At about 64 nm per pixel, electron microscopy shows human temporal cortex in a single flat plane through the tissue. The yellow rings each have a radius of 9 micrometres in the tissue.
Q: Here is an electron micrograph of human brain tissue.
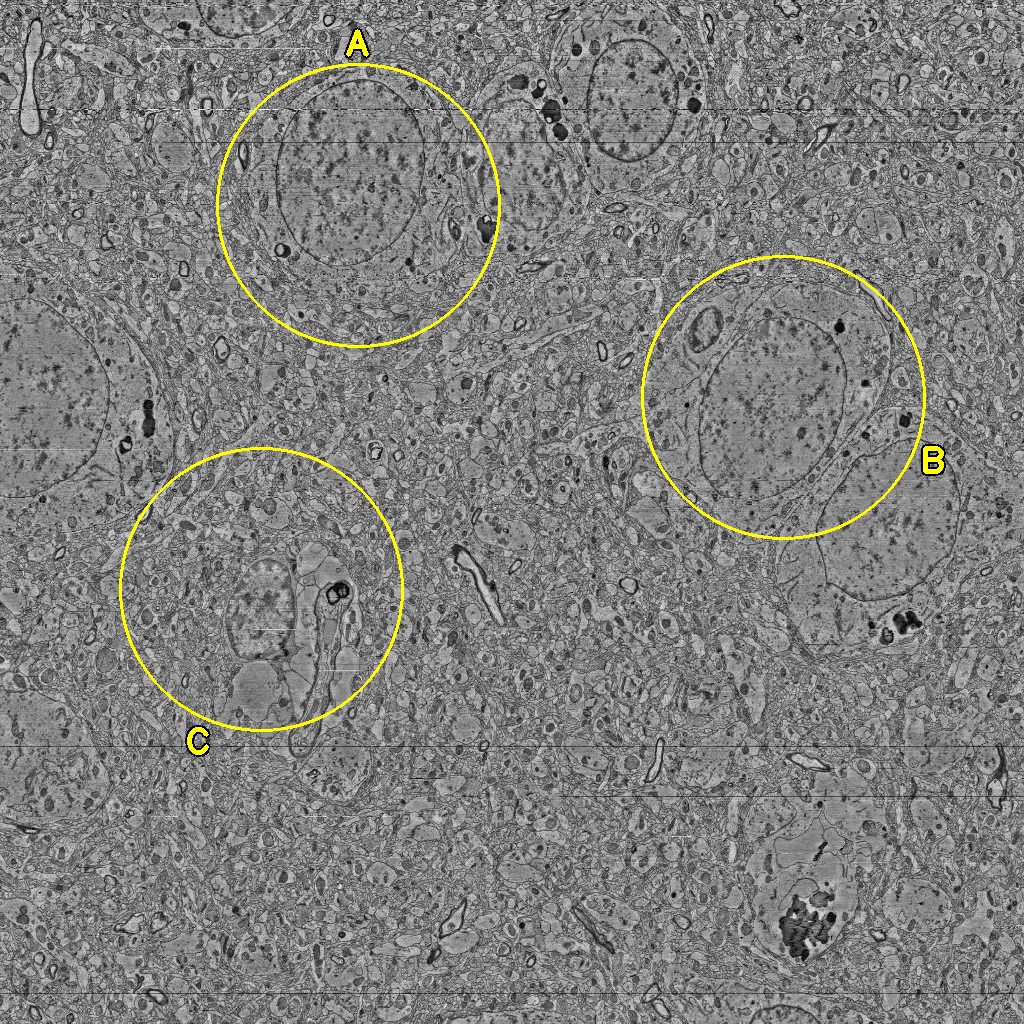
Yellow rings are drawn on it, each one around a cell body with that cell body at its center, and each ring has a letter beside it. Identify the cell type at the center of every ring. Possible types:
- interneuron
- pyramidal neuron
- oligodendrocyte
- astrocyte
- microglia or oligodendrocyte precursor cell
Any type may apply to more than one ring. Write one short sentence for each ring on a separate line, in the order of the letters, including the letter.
Centered in ring A is a pyramidal neuron.
Centered in ring B is a pyramidal neuron.
Centered in ring C is an oligodendrocyte.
